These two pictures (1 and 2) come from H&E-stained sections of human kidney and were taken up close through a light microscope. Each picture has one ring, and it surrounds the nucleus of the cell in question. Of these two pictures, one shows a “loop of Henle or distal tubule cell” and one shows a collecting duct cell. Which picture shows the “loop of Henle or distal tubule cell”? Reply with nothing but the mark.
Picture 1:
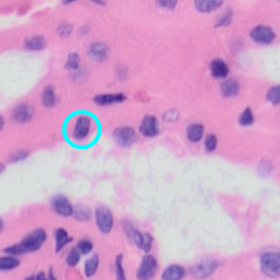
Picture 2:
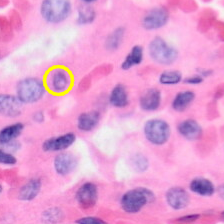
1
